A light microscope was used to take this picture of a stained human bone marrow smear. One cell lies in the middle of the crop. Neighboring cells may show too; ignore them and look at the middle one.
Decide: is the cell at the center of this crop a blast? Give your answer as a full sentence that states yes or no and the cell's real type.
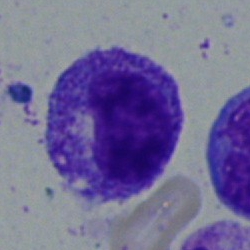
No, the cell in the middle is a myelocyte, not a blast.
